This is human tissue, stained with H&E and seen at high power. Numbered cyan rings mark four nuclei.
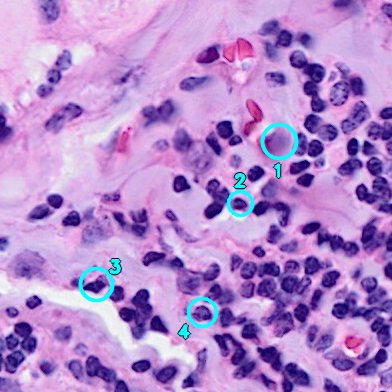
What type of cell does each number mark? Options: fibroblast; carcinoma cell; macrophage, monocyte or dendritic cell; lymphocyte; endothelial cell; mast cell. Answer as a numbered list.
1. endothelial cell
2. lymphocyte
3. lymphocyte
4. lymphocyte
